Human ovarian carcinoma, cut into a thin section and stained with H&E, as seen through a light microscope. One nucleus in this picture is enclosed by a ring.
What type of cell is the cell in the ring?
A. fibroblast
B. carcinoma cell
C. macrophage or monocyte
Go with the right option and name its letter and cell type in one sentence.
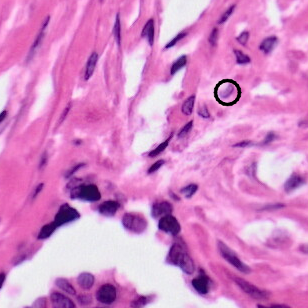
The correct option here, A, identifies the cell in the ring as a fibroblast.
